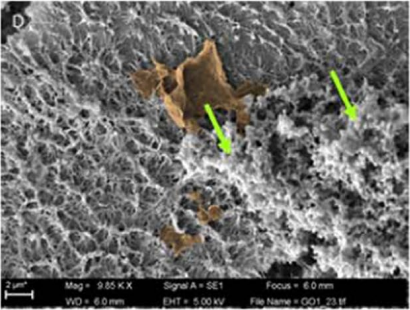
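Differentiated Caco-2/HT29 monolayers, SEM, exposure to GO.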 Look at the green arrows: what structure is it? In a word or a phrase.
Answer: Mucus accumulations.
